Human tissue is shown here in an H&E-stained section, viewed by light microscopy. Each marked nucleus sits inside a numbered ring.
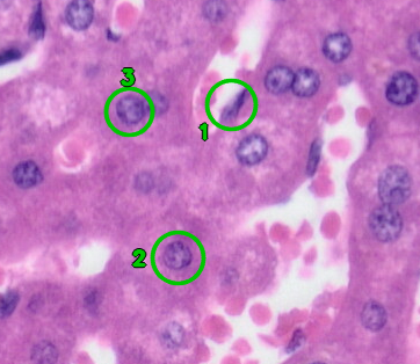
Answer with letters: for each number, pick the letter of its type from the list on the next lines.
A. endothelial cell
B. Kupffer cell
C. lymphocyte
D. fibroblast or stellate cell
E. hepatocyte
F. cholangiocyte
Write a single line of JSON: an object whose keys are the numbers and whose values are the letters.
{"1": "B", "2": "E", "3": "E"}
